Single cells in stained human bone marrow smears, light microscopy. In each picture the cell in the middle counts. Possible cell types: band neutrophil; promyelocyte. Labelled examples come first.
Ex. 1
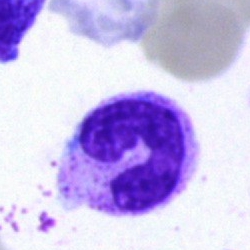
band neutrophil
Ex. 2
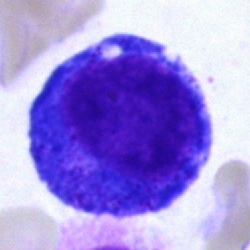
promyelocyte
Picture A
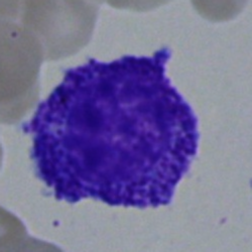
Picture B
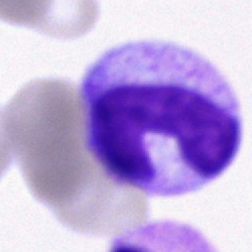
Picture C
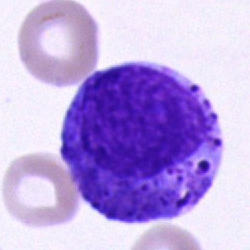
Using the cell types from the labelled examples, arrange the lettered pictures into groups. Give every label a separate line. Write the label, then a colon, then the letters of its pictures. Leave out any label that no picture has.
band neutrophil: B
promyelocyte: A, C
